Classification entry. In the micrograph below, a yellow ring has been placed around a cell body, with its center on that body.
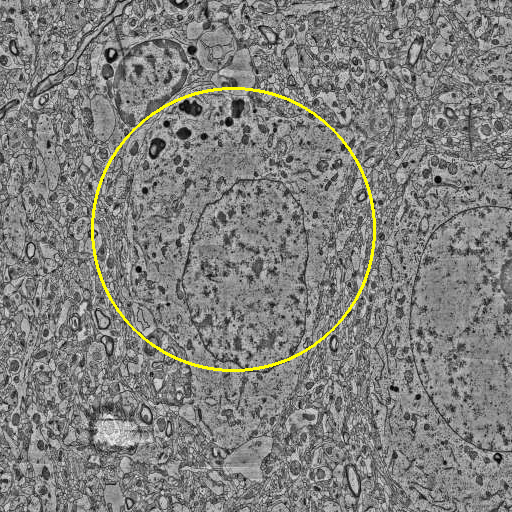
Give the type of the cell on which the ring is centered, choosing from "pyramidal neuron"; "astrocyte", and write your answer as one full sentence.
The cell body at the center of the yellow ring belongs to a pyramidal neuron.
